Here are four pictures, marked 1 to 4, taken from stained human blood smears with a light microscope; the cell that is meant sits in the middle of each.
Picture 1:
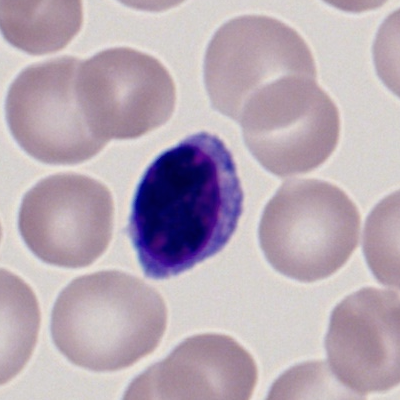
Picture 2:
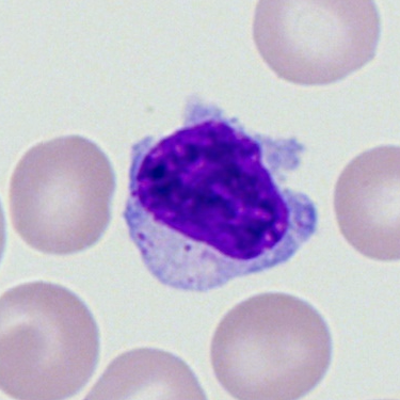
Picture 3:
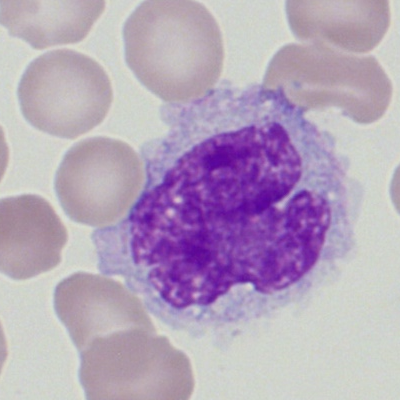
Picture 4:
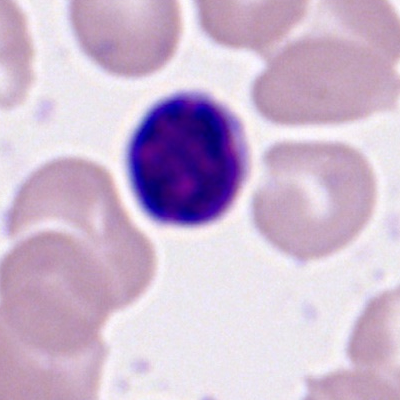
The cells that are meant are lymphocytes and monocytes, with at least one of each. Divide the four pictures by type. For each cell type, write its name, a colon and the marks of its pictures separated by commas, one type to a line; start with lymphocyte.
lymphocyte: 1, 2, 4
monocyte: 3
